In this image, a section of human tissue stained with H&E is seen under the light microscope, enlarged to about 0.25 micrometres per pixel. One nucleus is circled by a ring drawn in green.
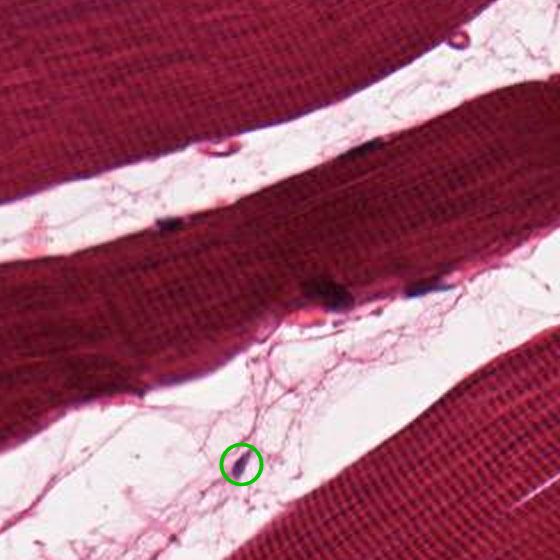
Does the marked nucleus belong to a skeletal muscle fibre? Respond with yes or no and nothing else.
no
